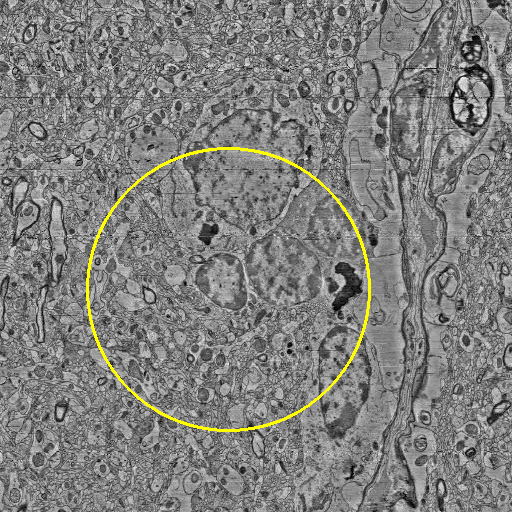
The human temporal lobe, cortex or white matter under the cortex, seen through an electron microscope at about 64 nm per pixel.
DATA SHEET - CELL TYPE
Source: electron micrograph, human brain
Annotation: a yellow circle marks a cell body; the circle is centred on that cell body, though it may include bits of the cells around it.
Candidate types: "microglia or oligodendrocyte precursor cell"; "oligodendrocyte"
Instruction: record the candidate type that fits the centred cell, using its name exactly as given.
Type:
microglia or oligodendrocyte precursor cell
